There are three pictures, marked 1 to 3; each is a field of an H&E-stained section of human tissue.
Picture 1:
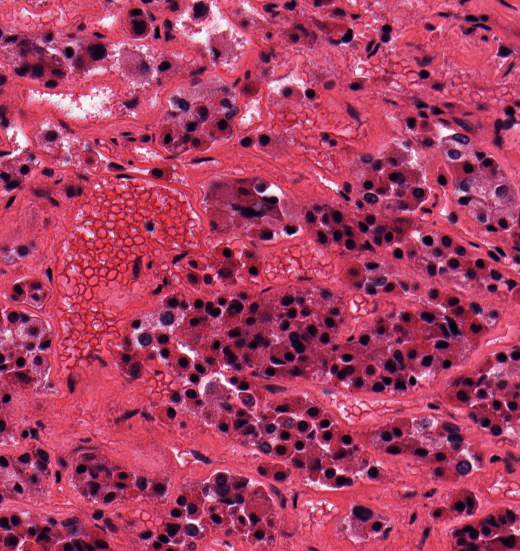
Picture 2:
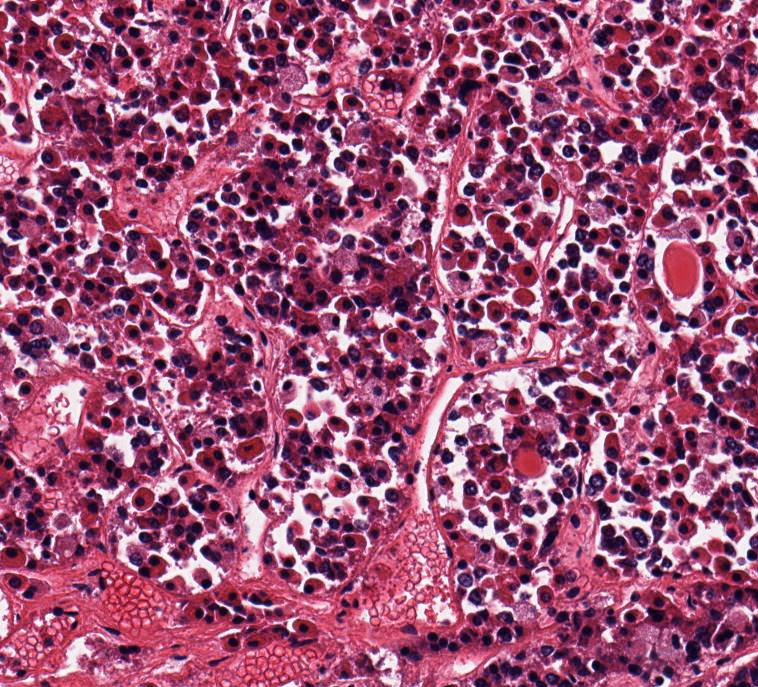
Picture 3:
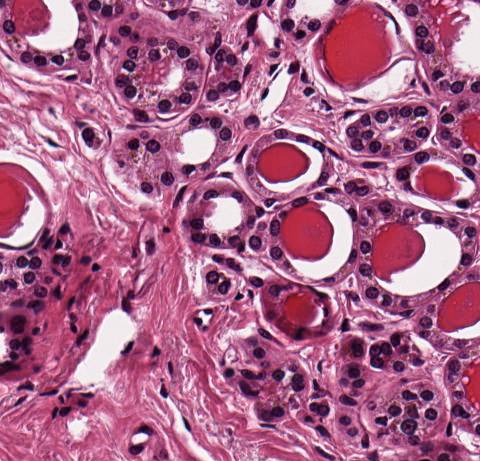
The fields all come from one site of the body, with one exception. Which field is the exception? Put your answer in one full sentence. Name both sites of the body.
Unlike the rest, which come from the pituitary, picture 3 comes from the thyroid.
